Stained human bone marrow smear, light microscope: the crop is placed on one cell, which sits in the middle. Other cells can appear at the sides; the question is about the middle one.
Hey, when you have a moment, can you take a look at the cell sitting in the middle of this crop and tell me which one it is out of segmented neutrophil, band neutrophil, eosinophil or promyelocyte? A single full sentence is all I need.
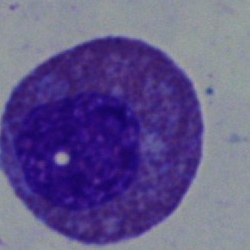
The cell marked by its central position in the crop is an eosinophil.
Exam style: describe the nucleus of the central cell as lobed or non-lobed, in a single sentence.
The nucleus holds together as a single compact mass, round, oval or kidney-like.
